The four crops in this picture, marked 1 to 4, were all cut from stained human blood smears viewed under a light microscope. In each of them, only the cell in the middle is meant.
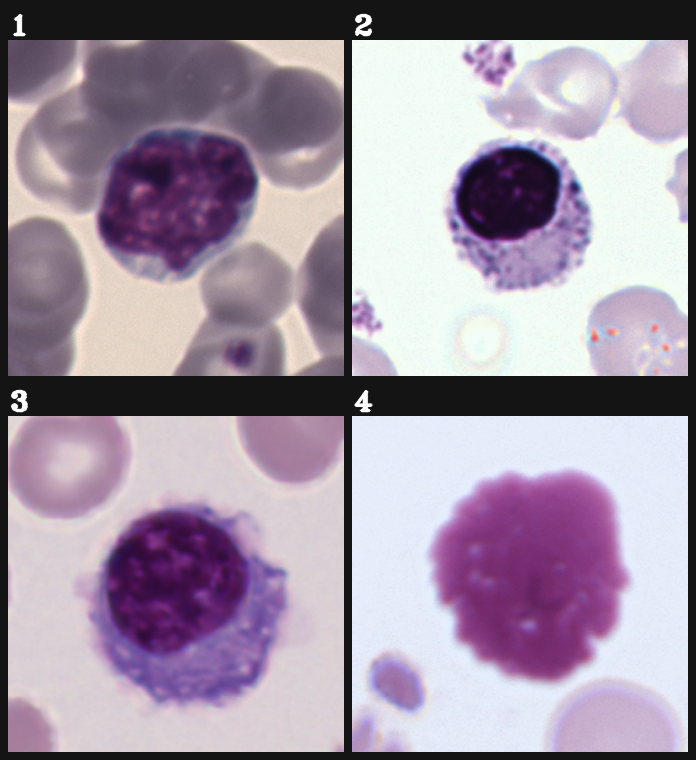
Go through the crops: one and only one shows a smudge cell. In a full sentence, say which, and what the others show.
It is a smudge cell that crop 4 shows, while crop 1 is a typical lymphocyte, crop 2 is a normoblast and crop 3 is a plasma cell.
